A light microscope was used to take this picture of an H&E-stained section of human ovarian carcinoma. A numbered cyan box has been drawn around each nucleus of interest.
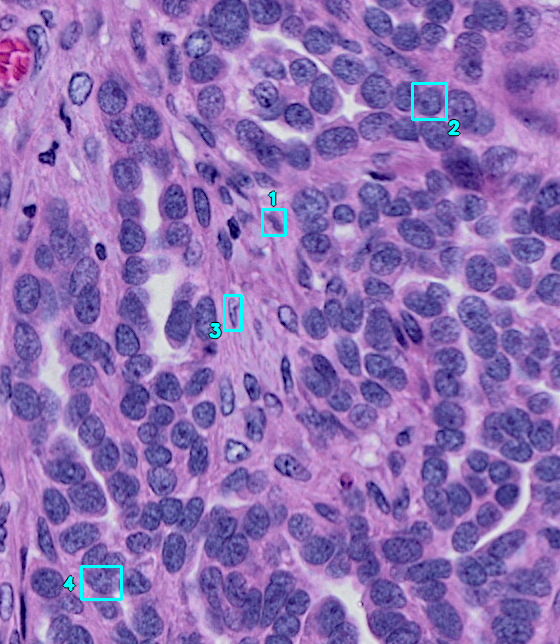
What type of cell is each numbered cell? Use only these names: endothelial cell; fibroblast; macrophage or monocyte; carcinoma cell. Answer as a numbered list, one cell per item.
1. fibroblast
2. carcinoma cell
3. fibroblast
4. carcinoma cell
